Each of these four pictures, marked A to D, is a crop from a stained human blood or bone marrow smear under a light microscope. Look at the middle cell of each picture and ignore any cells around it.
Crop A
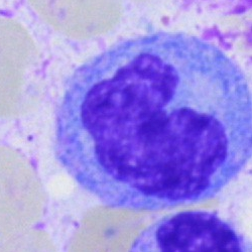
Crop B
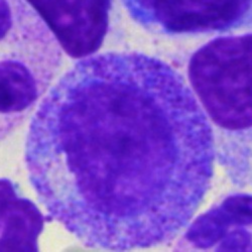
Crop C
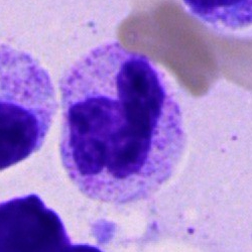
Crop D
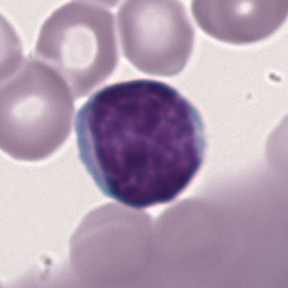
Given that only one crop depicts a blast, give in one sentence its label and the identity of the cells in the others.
In crop D there is a blast, while crop A is a monocyte, crop B is a promyelocyte and crop C is a neutrophil.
